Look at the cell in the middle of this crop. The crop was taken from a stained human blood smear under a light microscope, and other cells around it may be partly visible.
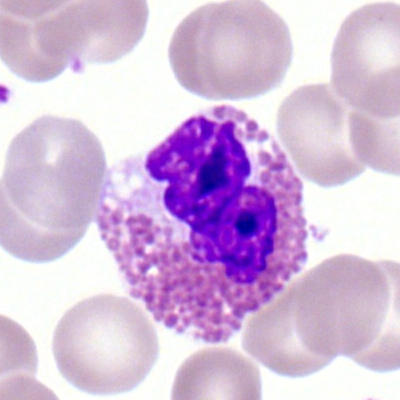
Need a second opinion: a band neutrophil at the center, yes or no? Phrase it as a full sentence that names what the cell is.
No, the central cell is not a band neutrophil, being instead an eosinophil.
